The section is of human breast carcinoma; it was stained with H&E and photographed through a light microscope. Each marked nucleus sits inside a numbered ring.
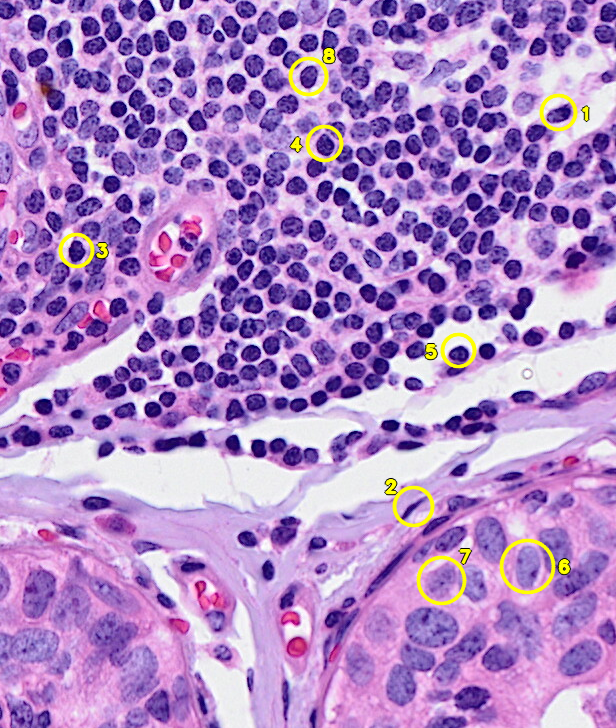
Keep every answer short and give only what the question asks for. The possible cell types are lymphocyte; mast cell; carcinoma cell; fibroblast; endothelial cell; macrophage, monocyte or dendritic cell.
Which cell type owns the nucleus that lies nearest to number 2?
endothelial cell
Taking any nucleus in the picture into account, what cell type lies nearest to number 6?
carcinoma cell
